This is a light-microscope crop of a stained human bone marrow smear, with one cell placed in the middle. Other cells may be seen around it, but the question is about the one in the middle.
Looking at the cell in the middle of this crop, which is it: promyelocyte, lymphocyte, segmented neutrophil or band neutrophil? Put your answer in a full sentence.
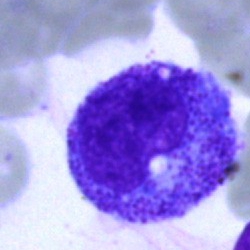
The cell the crop is centered on is a promyelocyte.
